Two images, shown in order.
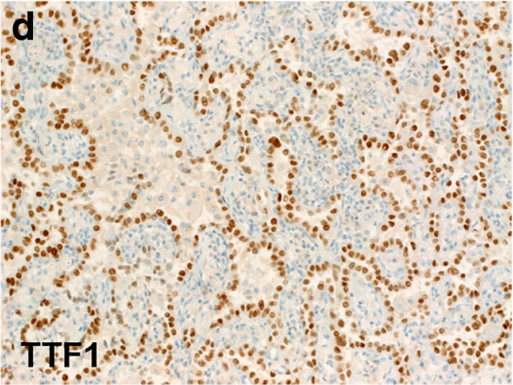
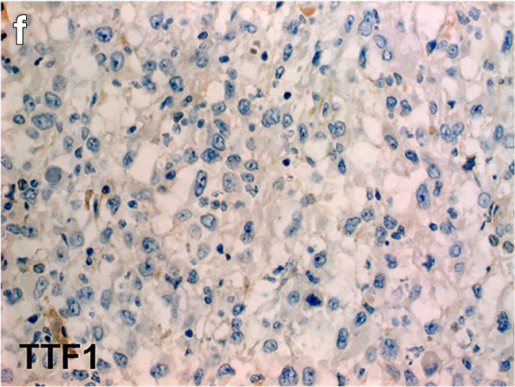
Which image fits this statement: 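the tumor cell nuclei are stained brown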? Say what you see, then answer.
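Second image: tumor nuclei are blue, without brown staining. First image: nuclei of the cells lining the septa are brown.
The first image.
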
